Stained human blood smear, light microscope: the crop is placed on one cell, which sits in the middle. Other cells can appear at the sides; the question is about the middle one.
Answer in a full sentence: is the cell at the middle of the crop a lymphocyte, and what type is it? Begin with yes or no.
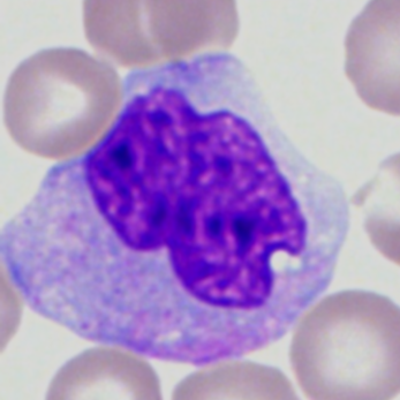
No, in the middle of the crop there is a monocyte rather than a lymphocyte.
